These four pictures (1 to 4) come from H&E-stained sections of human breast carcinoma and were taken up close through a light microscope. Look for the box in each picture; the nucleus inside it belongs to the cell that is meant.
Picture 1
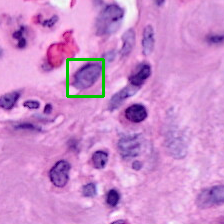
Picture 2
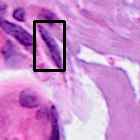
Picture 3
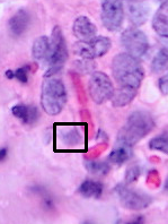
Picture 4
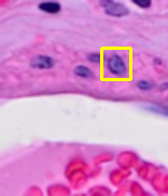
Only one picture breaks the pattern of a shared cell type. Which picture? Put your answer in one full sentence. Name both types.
Picture 2 differs, because its cell is a fibroblast and the rest are endothelial cells.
